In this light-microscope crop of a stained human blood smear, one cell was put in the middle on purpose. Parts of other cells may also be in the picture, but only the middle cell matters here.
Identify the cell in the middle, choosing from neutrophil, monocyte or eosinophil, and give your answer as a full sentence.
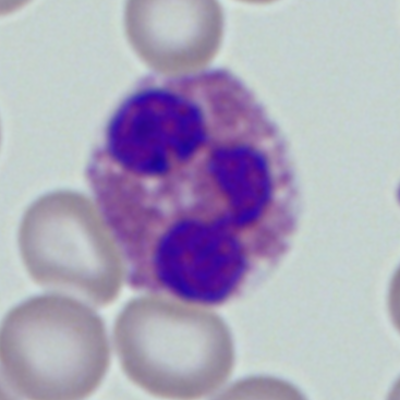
Centred in the crop is an eosinophil.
